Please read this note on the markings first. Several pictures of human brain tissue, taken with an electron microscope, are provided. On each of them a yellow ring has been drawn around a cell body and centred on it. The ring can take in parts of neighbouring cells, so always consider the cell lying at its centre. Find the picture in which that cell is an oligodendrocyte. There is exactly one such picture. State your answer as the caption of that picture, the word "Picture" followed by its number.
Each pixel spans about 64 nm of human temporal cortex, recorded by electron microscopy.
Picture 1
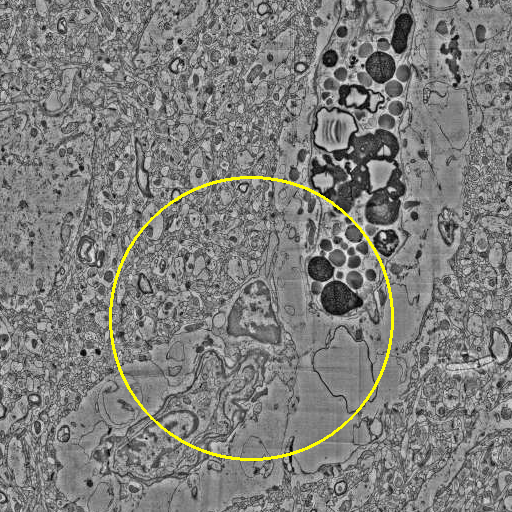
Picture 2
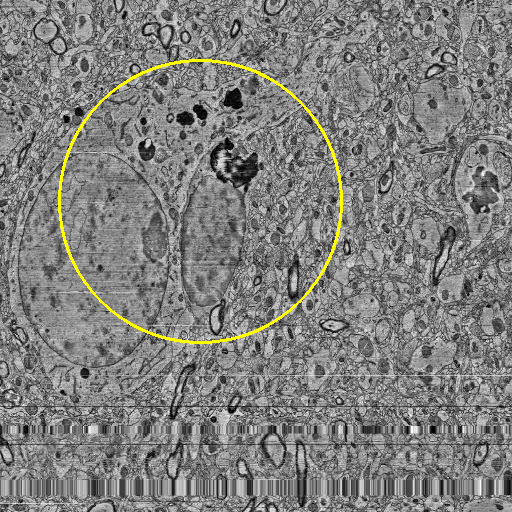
Picture 2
